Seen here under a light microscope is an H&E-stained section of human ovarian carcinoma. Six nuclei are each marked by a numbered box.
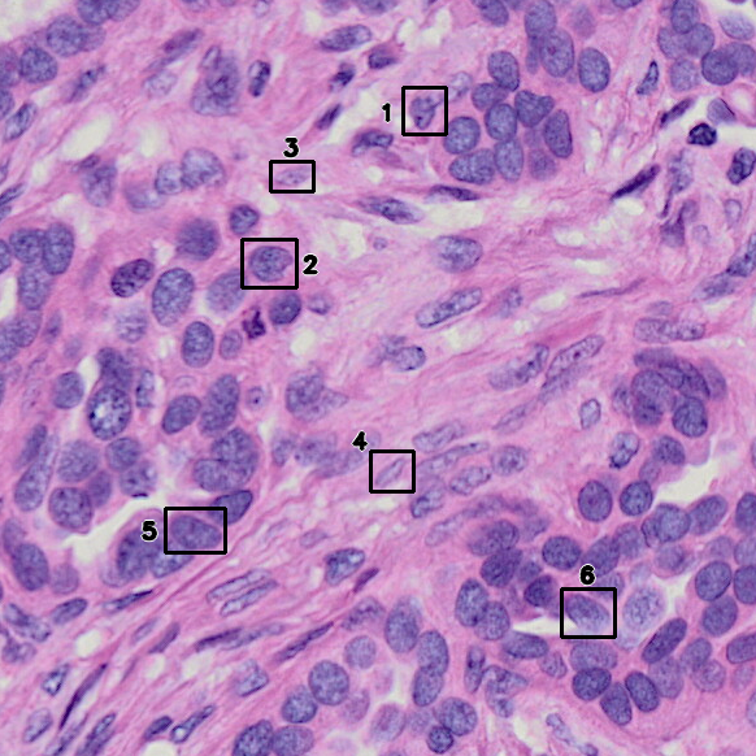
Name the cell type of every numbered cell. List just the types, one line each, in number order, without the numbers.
macrophage or monocyte
carcinoma cell
fibroblast
fibroblast
carcinoma cell
carcinoma cell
